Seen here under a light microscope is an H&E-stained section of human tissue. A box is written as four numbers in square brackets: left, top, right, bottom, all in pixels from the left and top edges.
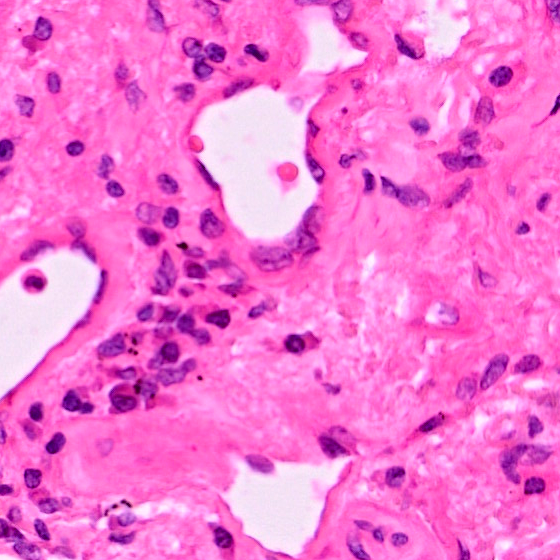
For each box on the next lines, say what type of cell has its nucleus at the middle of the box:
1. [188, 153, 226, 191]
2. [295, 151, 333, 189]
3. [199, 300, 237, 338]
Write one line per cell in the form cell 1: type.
cell 1: endothelial cell
cell 2: endothelial cell
cell 3: plasma cell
